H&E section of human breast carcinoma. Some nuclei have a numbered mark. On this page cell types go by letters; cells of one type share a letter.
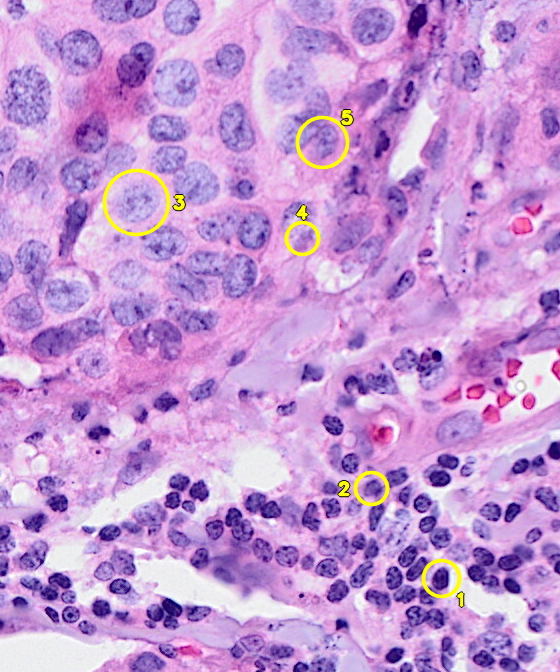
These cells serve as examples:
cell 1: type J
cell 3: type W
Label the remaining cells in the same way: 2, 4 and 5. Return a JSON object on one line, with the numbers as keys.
{"2": "type J", "4": "type W", "5": "type W"}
